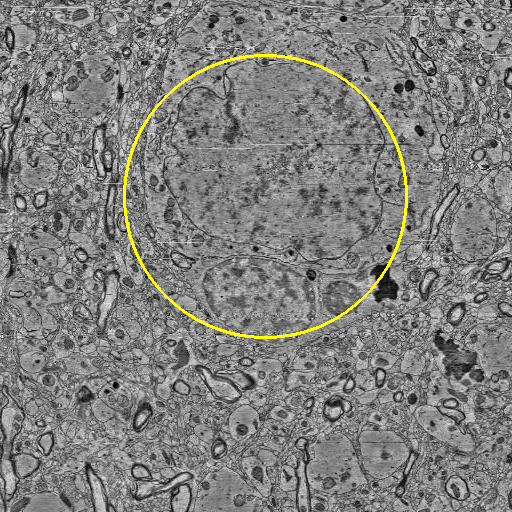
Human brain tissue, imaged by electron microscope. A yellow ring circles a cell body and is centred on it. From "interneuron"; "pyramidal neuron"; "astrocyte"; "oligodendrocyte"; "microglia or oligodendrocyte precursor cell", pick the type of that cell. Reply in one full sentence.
The cell body at the centre of the yellow ring belongs to a pyramidal neuron.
